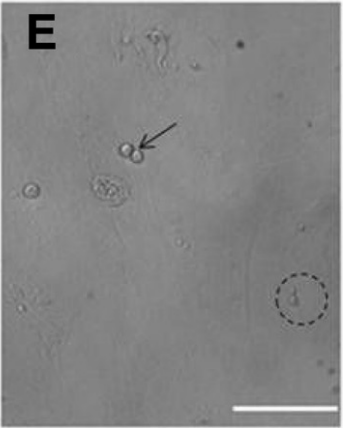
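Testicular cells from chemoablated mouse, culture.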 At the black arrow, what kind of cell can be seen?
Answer: Germ cells.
